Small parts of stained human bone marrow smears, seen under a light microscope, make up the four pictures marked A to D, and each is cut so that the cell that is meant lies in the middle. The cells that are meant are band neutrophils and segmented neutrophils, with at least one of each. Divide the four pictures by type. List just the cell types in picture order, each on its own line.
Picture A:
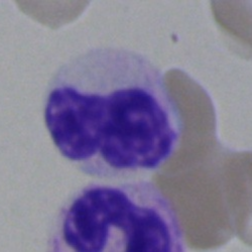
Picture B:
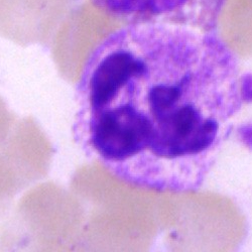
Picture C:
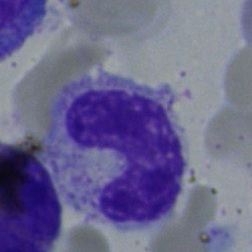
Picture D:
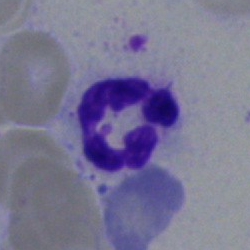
band neutrophil
segmented neutrophil
band neutrophil
segmented neutrophil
